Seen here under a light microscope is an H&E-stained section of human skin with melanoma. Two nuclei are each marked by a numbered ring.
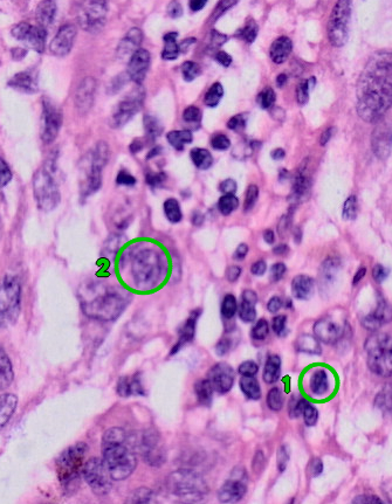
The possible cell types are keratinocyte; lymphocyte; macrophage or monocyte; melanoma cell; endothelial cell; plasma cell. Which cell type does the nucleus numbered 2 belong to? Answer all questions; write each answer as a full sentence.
The nucleus labelled 2 belongs to a melanoma cell.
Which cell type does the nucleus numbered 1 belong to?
The cell numbered 1 represents a lymphocyte.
